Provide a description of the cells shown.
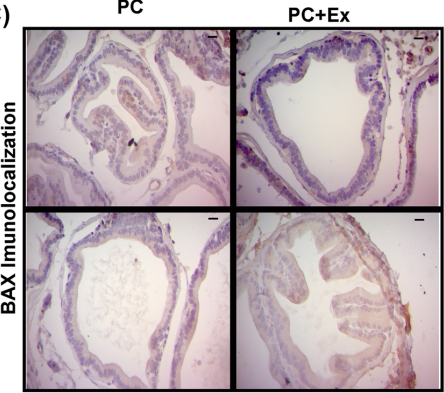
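The nuclei are oval and blue, arranged in a row near the base of the epithelium, with paler cytoplasm toward the lumen. The epithelium folds into papillary projections that extend into the lumina, some of which hold pale secretion. Narrow bands of stroma with slender nuclei separate the acini. Brown staining is light and scattered, with a few darker brown spots in the lumen and stroma.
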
